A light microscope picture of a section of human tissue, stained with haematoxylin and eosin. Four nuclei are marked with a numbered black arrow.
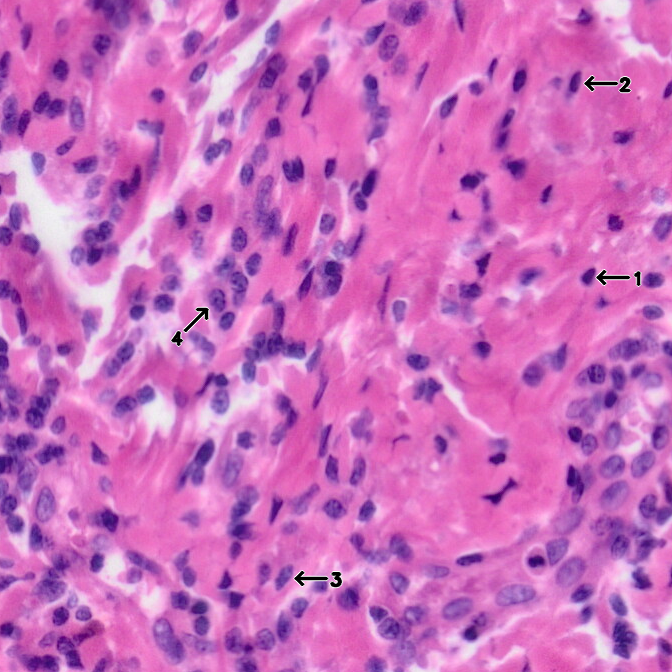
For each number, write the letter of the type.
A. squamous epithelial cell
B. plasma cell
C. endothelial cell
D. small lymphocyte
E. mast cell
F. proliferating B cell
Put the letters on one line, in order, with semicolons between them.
E; E; E; B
